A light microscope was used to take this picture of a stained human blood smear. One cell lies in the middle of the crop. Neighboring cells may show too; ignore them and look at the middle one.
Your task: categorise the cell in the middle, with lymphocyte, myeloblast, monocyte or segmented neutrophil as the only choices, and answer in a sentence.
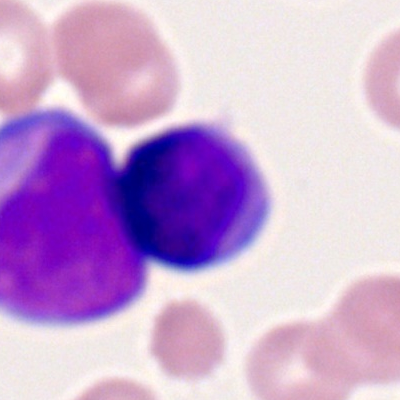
As for the central cell, it is a lymphocyte.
